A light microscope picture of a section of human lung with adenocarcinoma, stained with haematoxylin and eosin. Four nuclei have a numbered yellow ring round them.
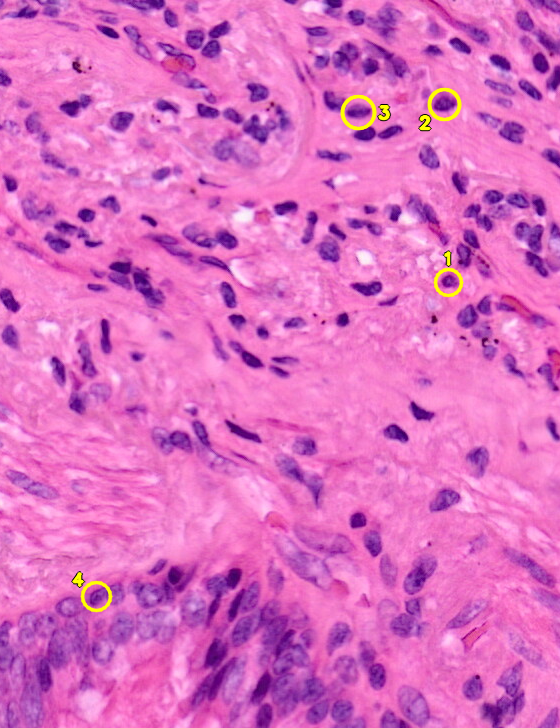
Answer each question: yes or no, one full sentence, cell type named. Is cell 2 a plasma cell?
Yes, the cell distinguished by number 2 is a plasma cell.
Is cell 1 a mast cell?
Yes, it checks out; the cell labelled 1 is a mast cell.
